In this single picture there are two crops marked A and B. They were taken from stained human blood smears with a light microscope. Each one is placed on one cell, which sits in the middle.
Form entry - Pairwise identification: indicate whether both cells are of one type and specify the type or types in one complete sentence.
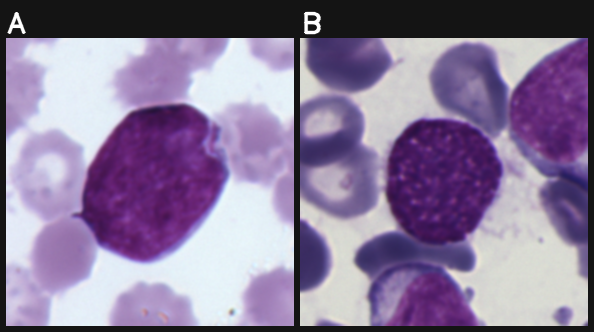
Yes, myeloblasts are the central cells in the two crops.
